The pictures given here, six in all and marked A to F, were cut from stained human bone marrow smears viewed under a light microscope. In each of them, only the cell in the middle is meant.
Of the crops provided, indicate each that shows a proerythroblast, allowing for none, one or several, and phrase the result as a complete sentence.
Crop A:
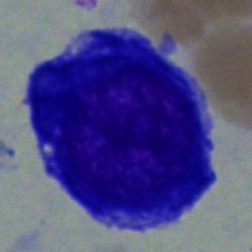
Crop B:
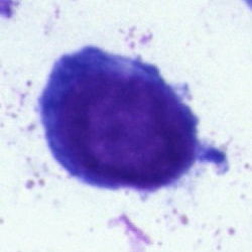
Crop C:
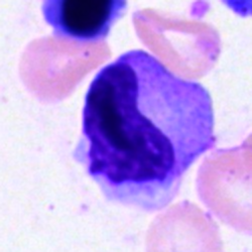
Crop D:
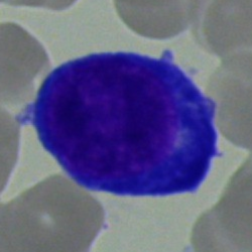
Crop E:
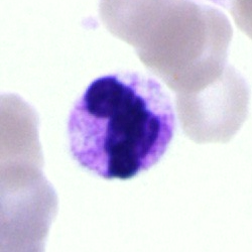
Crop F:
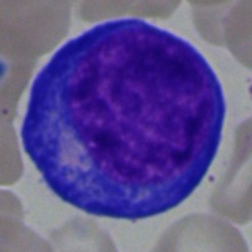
Of the crops given, crops A, B, D and F show proerythroblasts.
